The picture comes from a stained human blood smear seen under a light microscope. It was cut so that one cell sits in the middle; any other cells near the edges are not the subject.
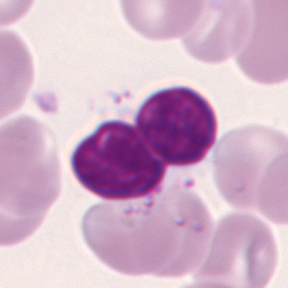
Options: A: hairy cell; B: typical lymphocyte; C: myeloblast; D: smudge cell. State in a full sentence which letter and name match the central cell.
Option D is accurate; the centrally placed cell is a smudge cell.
